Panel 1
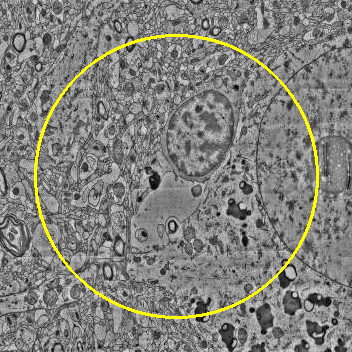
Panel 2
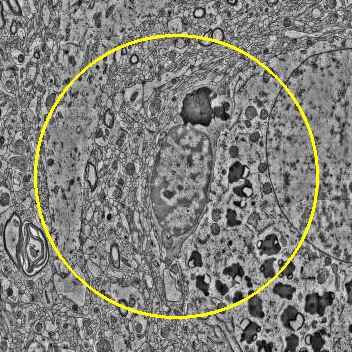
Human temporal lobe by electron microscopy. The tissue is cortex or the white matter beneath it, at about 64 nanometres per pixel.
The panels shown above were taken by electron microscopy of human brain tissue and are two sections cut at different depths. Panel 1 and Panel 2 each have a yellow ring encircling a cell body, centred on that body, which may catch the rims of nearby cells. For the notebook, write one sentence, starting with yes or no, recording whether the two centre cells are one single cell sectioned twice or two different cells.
Yes, both yellow rings mark one and the same cell.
